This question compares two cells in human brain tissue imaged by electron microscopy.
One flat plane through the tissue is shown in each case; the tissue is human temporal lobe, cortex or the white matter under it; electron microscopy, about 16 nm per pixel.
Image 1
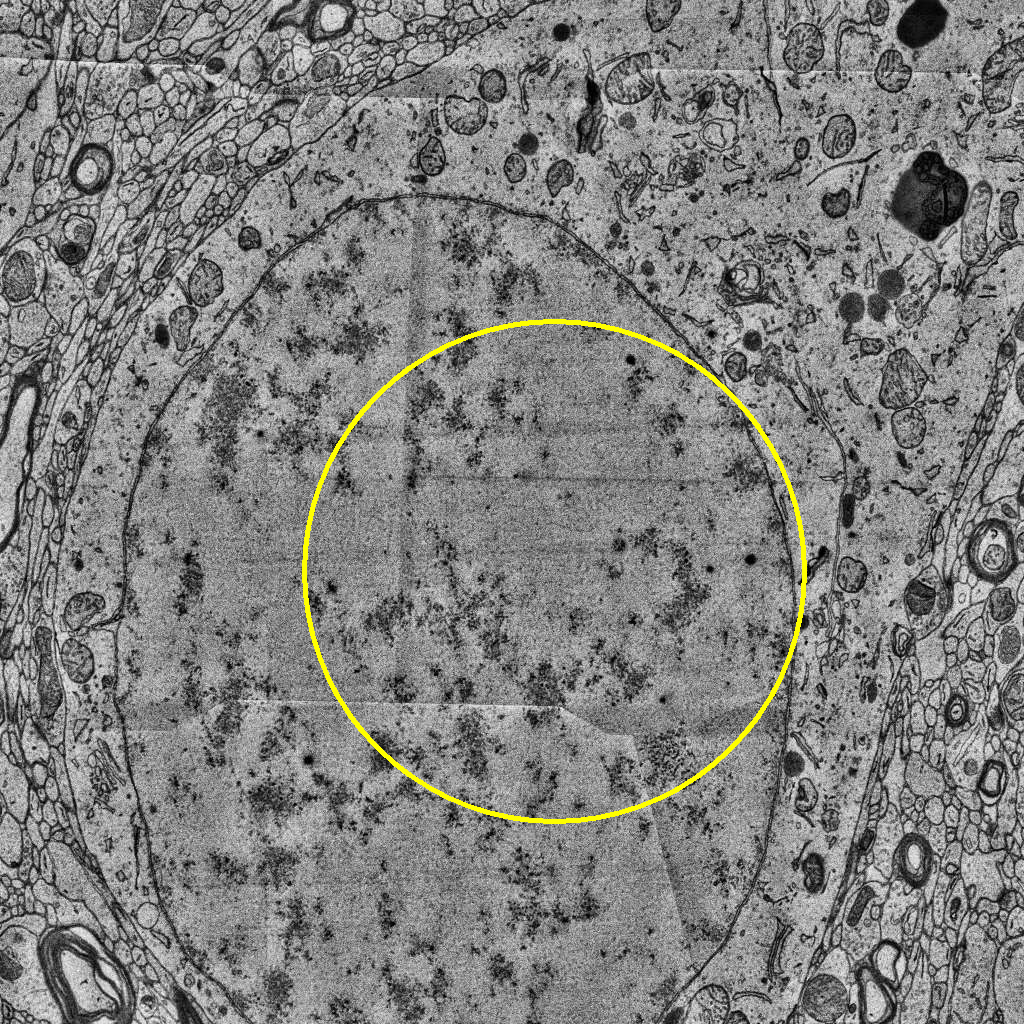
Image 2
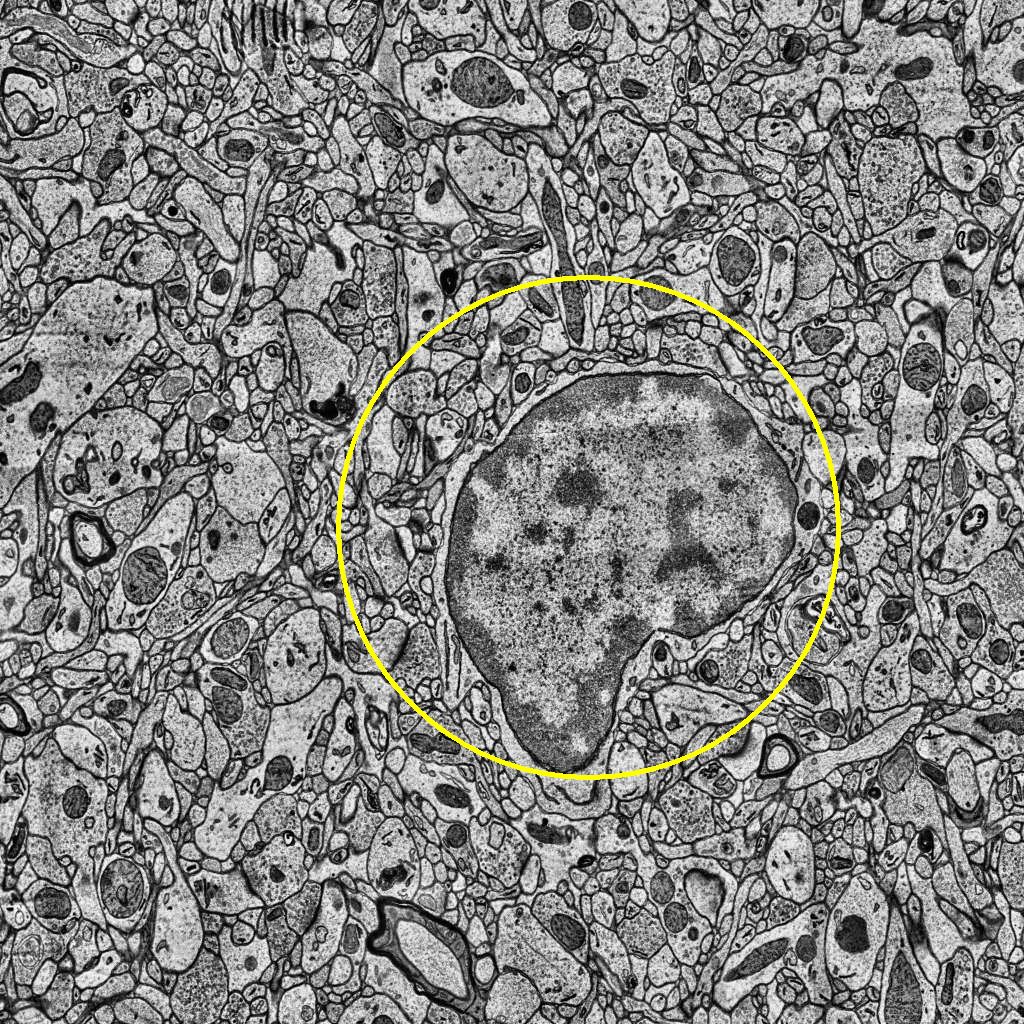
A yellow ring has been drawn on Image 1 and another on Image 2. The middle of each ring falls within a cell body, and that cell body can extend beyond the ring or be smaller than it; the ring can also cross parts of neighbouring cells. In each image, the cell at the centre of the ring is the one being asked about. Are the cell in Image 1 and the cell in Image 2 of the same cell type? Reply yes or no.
no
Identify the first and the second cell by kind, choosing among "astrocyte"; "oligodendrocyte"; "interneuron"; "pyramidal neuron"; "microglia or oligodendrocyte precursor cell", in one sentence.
The first ring encloses a pyramidal neuron; the second ring encloses a microglial cell or oligodendrocyte precursor cell.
